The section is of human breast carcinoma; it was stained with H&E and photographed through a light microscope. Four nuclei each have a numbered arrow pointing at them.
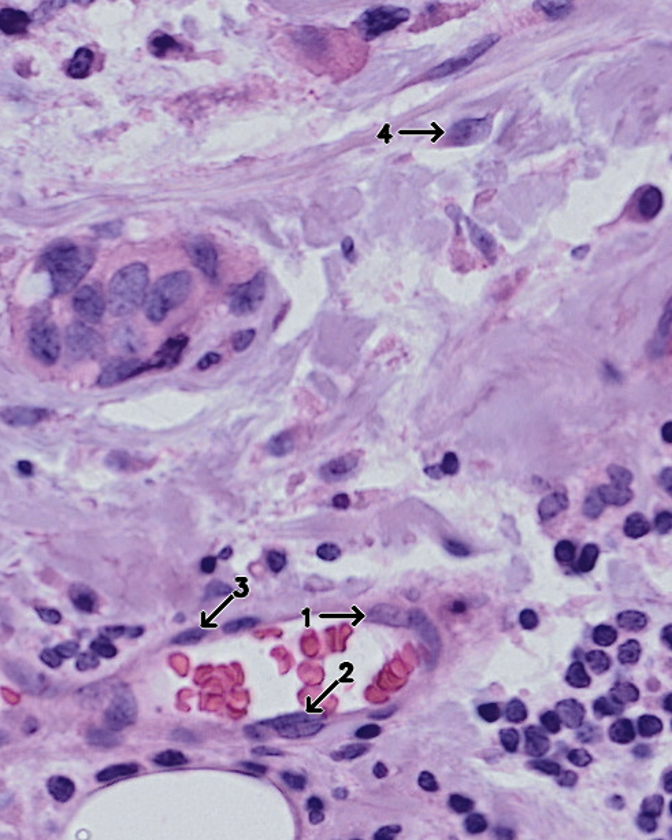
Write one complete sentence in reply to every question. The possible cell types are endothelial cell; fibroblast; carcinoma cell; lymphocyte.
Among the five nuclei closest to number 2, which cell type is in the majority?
Lymphocytes account for more than half of the five nuclei nearest to number 2.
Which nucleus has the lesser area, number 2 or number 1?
Nucleus 1 is the smaller one; nucleus 2 covers about 1.5 times its area.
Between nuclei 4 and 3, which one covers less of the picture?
With nucleus 4 about 2 times its size, nucleus 3 is the smaller of the two.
